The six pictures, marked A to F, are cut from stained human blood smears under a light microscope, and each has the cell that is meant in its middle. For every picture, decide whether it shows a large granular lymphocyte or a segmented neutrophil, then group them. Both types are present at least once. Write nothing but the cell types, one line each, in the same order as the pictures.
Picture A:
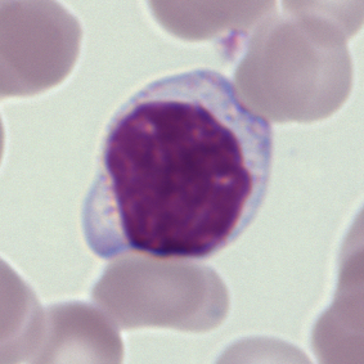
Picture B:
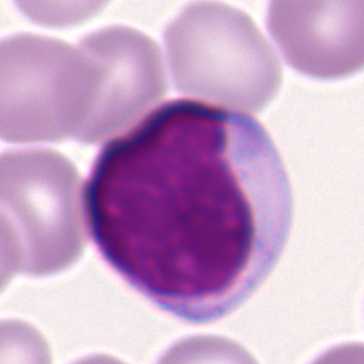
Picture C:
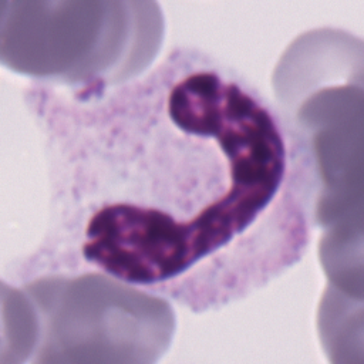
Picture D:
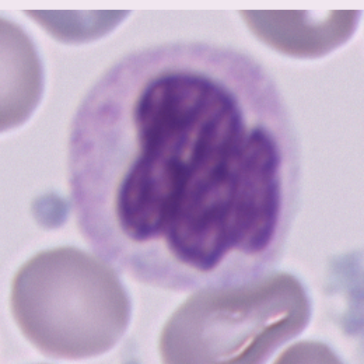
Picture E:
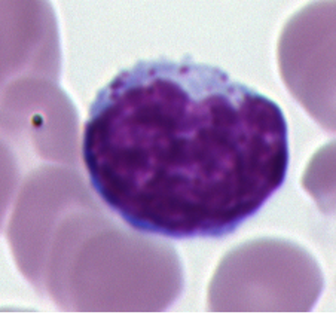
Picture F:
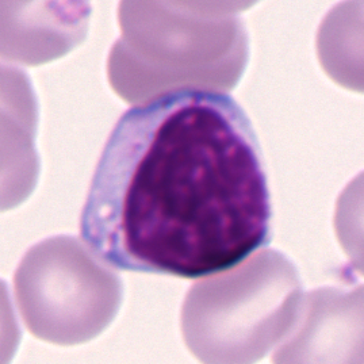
large granular lymphocyte
large granular lymphocyte
segmented neutrophil
segmented neutrophil
large granular lymphocyte
large granular lymphocyte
